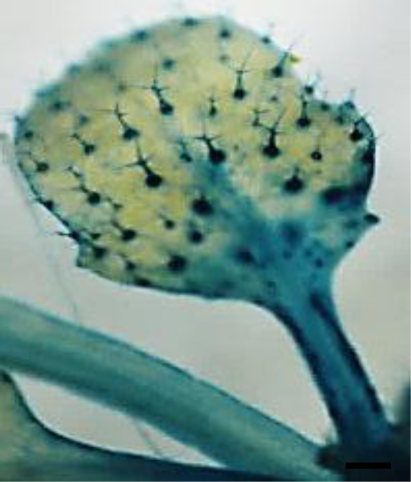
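This is a young leaf whose trichomes stand out as the most intensely stained elements, dark blue and branched like small stars. They are spaced fairly evenly over the pale yellowish-green blade, each with a dark blue base and thin radiating branches. The petiole and the margin of the blade carry a lighter, diffuse blue tint. Between the trichomes the leaf blade itself stays largely unstained.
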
